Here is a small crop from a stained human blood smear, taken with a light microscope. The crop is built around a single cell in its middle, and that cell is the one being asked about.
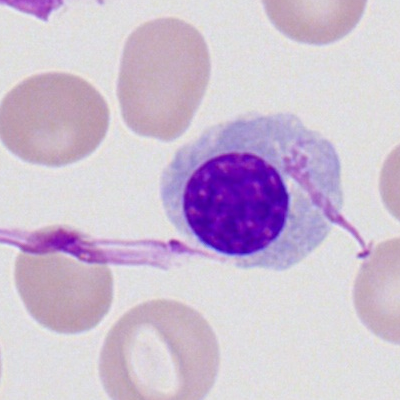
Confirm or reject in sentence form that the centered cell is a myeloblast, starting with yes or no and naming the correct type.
No, the central cell is an erythroblast; it should not be labelled a myeloblast.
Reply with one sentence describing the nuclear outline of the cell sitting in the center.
What stands out is a nucleus forming one compact round, oval or kidney-shaped mass.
